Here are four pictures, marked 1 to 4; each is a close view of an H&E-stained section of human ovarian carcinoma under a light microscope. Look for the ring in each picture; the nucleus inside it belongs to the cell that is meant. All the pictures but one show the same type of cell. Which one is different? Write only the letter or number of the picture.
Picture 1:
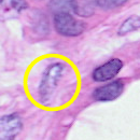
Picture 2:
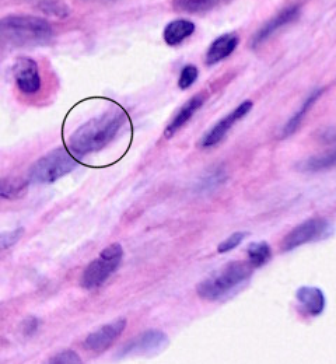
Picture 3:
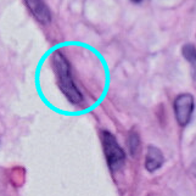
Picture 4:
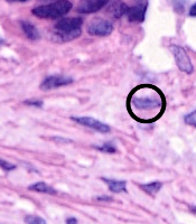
3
